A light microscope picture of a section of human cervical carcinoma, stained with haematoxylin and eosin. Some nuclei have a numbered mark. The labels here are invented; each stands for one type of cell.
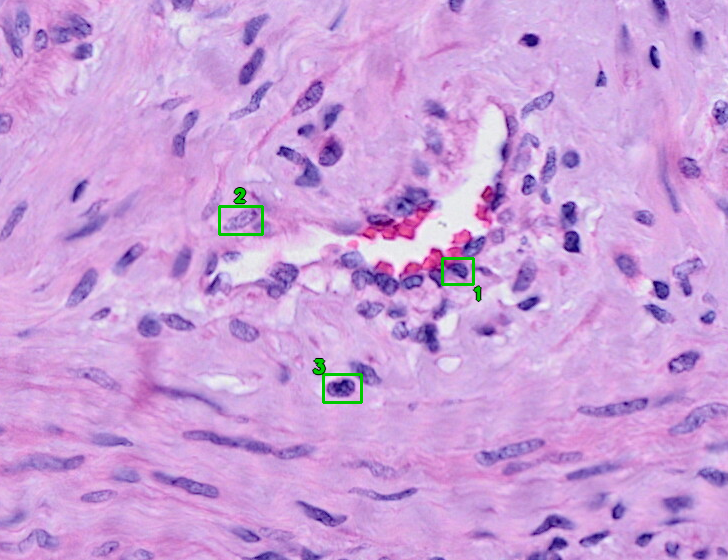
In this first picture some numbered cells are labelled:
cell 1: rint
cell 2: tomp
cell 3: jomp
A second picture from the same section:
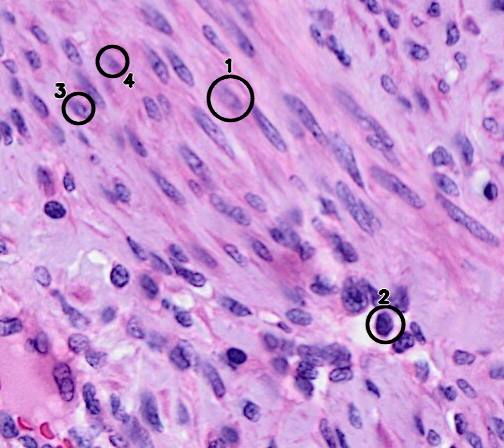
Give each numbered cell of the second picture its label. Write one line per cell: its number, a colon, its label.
1: tomp
2: jomp
3: tomp
4: tomp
